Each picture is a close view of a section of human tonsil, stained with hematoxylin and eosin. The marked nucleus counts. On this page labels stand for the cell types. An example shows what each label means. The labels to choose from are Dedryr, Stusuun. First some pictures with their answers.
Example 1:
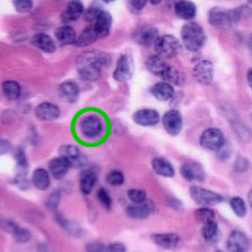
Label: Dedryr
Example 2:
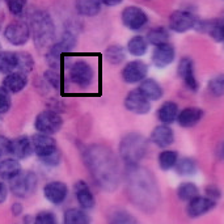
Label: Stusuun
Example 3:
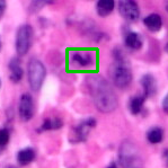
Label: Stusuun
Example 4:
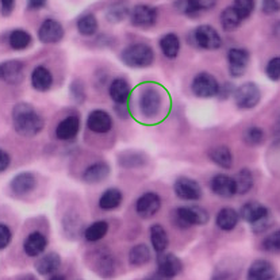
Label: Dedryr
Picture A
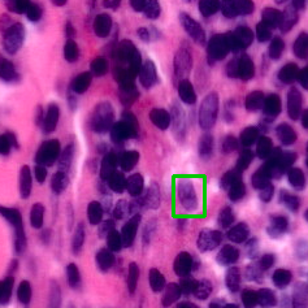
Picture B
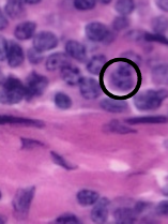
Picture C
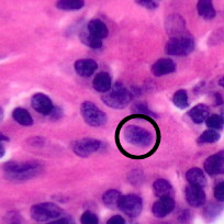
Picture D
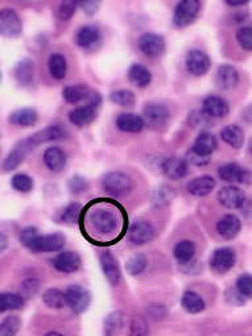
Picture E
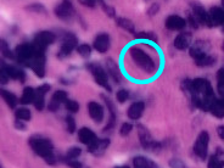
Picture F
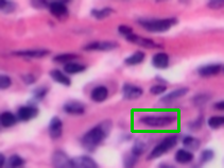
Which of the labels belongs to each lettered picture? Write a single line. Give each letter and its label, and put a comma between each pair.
A Stusuun, B Dedryr, C Stusuun, D Dedryr, E Stusuun, F Stusuun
